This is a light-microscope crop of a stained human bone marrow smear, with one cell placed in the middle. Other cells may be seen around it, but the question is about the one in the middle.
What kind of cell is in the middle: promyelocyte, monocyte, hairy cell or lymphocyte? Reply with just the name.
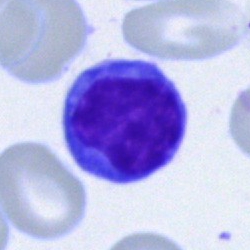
lymphocyte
